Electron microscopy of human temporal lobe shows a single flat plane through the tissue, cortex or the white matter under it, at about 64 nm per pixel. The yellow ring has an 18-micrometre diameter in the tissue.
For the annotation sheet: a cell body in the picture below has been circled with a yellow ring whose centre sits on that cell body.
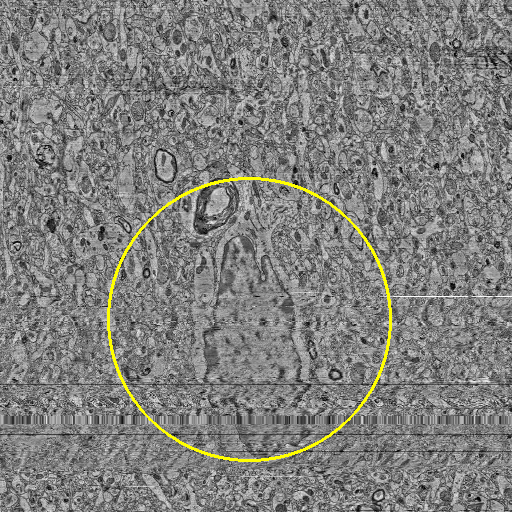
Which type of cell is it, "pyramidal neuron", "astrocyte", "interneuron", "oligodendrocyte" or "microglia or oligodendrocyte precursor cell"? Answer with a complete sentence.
The circled cell is a microglial cell or oligodendrocyte precursor cell.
